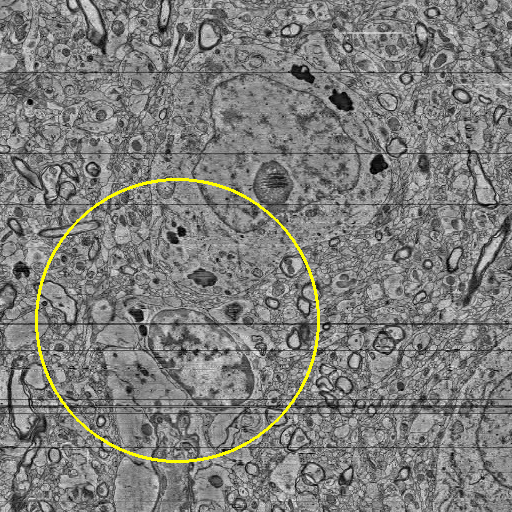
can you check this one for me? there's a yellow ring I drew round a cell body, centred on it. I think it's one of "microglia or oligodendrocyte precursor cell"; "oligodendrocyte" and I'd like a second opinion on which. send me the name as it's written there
microglia or oligodendrocyte precursor cell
